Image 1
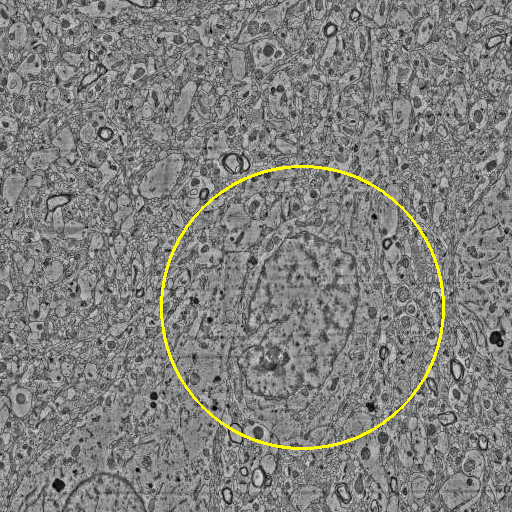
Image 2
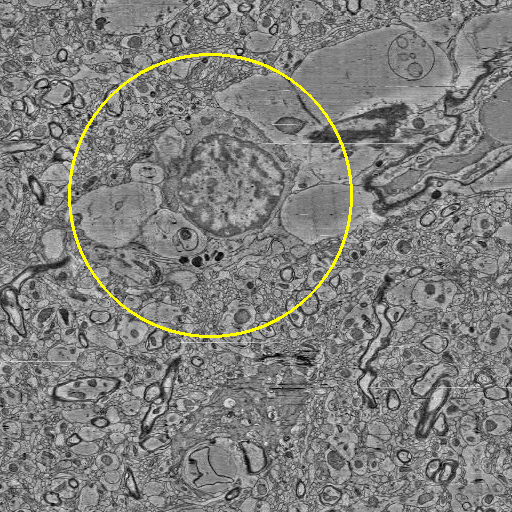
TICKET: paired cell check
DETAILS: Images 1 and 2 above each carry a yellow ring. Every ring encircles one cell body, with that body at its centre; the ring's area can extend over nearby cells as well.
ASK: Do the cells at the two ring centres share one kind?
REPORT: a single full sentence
No, the ring-centre cells of Images 1 and 2 belong to two kinds.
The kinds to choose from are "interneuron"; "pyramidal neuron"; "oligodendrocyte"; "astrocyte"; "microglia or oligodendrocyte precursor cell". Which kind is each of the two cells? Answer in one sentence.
Of the two, the first cell is an interneuron and the second cell is an oligodendrocyte.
